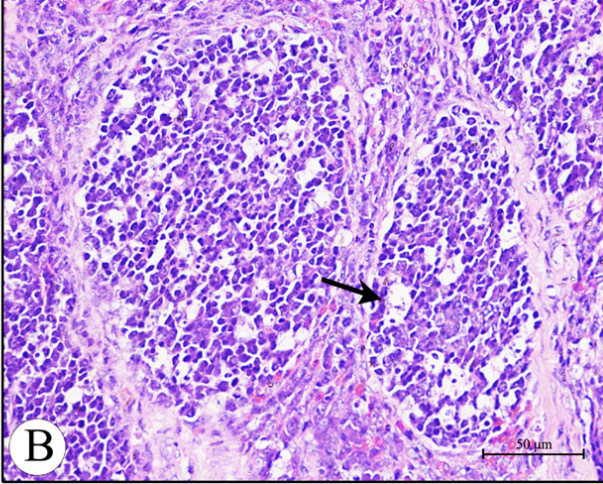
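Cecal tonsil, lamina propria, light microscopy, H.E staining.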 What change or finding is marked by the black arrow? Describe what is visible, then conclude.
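The arrow points to clear, unstained round spaces among the densely packed round cells. Many similar empty spaces are scattered through the rounded cell clusters. So: vacuoles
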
